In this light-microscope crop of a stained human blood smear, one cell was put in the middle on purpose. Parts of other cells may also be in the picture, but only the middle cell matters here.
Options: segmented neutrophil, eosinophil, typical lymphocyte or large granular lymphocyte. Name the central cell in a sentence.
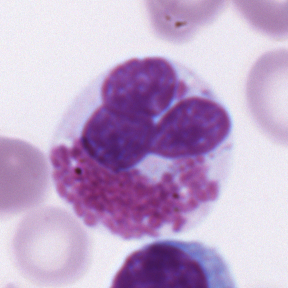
What sits at the centre of this crop is an eosinophil.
